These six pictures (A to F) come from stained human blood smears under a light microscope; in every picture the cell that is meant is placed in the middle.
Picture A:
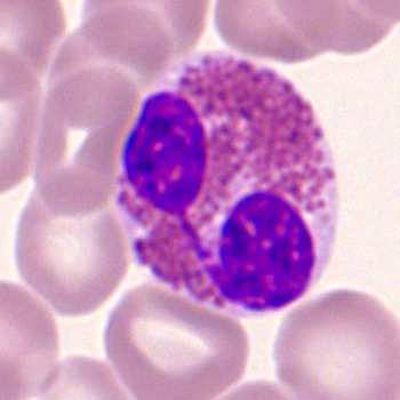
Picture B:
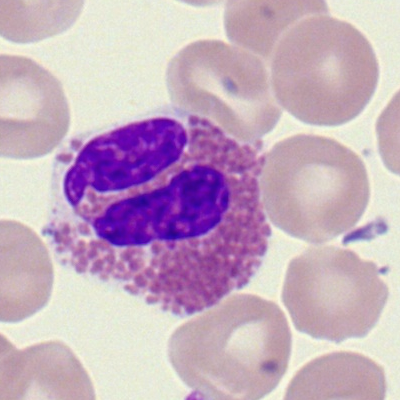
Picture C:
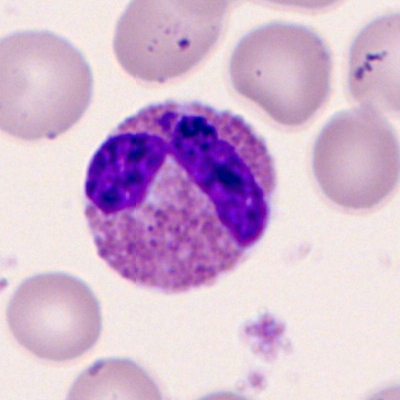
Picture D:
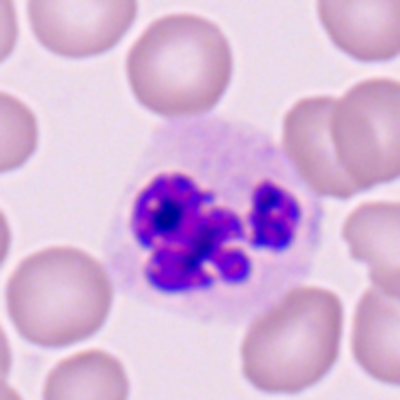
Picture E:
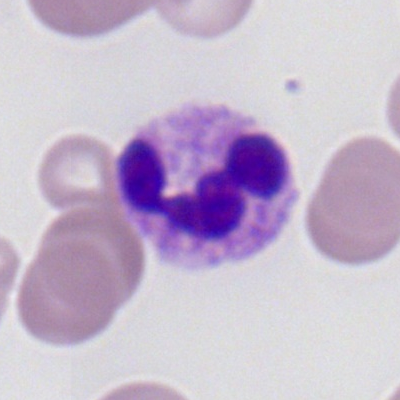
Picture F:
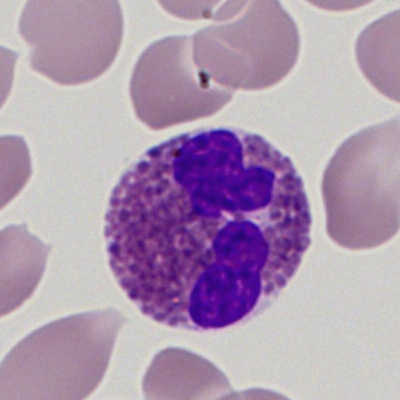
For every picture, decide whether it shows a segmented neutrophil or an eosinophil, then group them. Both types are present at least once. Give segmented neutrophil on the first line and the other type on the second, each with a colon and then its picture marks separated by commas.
segmented neutrophil: D, E
eosinophil: A, B, C, F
